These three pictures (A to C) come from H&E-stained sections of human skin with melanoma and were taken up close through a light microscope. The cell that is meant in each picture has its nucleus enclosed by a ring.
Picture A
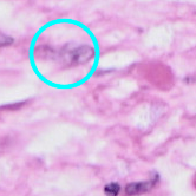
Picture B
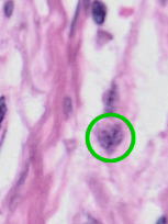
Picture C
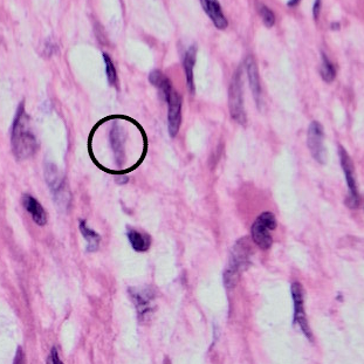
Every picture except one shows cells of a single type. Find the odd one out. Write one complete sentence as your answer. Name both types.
All pictures except B show “fibroblasts or myofibroblasts”; picture B shows a “macrophage or monocyte”.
